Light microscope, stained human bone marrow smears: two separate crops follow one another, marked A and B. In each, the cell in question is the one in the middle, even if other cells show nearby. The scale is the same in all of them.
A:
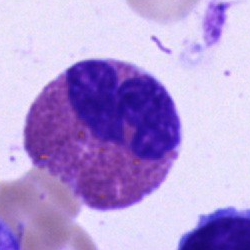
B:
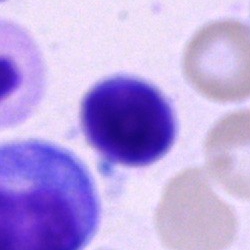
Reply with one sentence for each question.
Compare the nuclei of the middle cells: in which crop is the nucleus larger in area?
It is the nucleus in picture A, about 1.5 times as large in area as the one in picture B.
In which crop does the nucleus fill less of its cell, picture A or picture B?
The nucleus fills less of the cell in picture A than in picture B.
